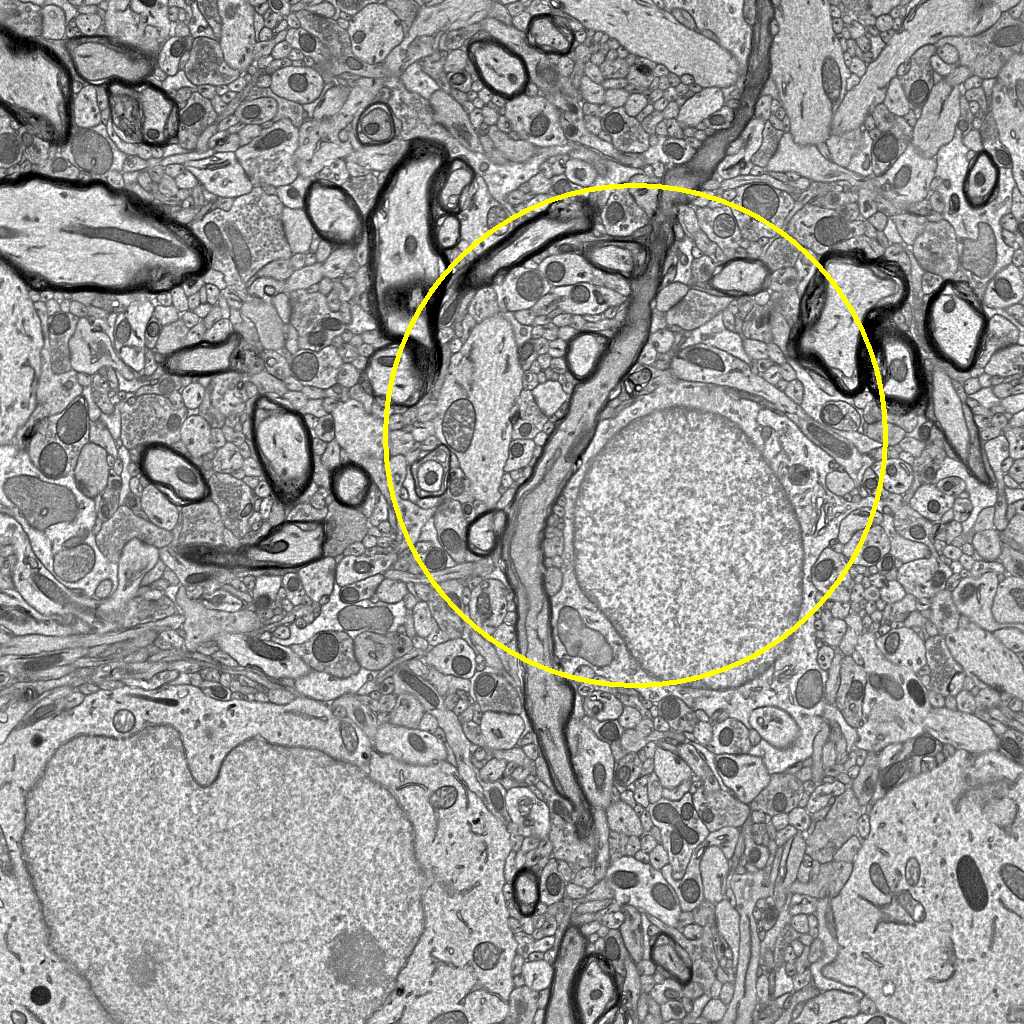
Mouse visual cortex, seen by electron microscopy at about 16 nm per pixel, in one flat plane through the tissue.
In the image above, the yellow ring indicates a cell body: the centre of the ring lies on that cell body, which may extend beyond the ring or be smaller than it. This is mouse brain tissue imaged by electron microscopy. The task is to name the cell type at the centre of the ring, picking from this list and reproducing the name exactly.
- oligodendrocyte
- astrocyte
astrocyte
